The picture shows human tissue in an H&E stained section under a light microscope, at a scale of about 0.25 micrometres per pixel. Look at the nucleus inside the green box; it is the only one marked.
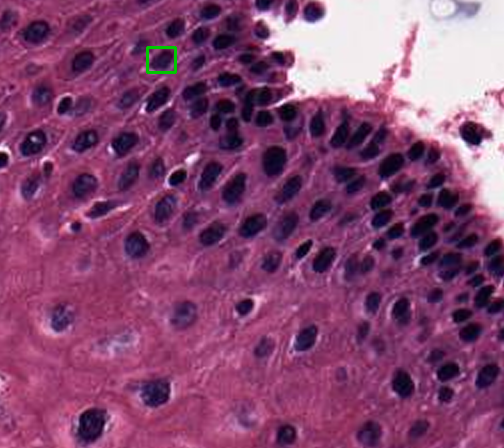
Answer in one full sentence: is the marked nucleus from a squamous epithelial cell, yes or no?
Yes, the marked nucleus is part of a squamous epithelial cell.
